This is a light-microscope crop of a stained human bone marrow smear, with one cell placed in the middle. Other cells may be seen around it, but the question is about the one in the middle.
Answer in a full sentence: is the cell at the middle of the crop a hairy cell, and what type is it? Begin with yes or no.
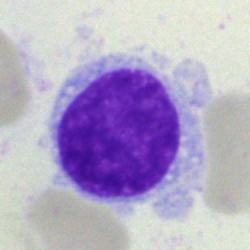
Yes, the central cell is to be recorded as a hairy cell.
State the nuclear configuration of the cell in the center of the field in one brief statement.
If you check the nucleus, you will find one compact mass, round, oval or kidney-shaped.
